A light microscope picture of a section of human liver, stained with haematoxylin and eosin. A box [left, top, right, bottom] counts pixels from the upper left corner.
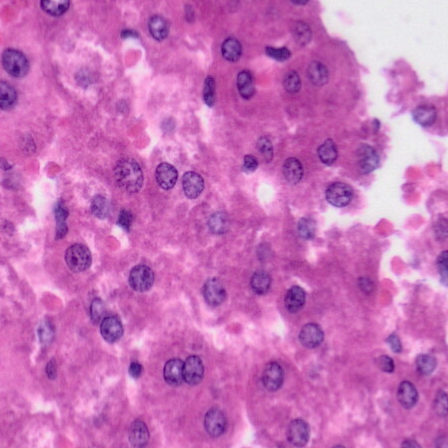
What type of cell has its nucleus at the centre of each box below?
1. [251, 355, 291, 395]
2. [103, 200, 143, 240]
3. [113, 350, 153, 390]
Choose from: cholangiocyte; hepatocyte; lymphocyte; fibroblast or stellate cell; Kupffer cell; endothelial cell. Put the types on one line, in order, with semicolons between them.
hepatocyte; endothelial cell; lymphocyte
